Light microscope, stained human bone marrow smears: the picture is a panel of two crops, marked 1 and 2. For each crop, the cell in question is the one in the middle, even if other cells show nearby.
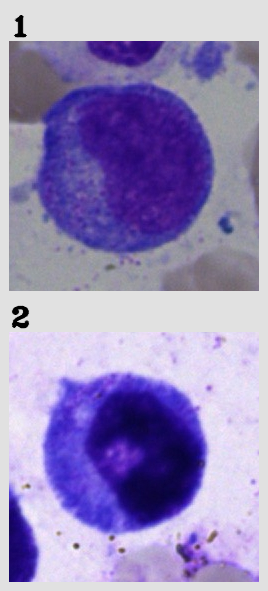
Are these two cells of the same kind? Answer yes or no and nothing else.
yes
